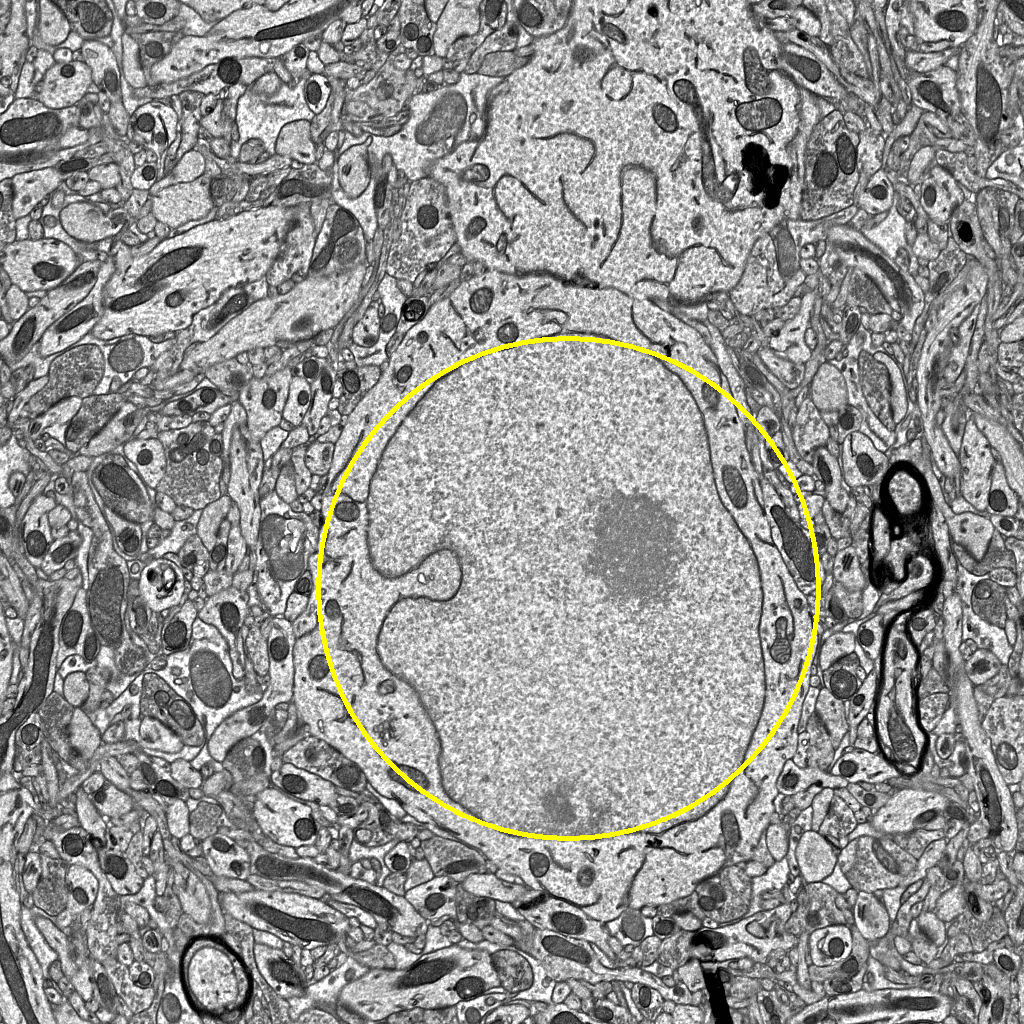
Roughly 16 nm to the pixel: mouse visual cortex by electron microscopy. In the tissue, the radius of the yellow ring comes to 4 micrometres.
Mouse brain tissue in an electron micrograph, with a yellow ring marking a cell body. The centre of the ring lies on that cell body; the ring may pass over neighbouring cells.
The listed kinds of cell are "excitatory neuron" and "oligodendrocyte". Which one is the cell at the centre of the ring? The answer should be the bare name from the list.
excitatory neuron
